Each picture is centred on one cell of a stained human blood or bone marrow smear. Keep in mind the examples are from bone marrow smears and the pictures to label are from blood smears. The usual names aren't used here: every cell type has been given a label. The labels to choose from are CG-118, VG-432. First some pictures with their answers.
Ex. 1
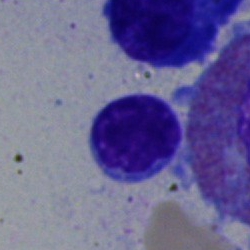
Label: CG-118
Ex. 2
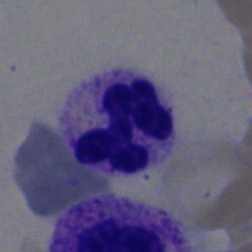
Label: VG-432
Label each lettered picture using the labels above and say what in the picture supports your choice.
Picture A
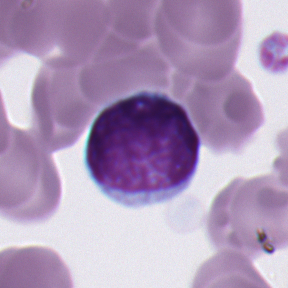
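CG-118: The cytoplasm forms a thin crescent seen mainly below the nucleus.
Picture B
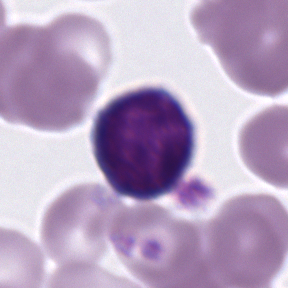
CG-118: The nucleus fills almost the whole cell, leaving at most a very thin rim of cytoplasm.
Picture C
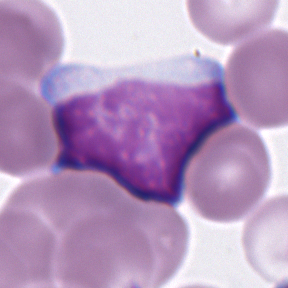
CG-118: The nucleus fills most of the cell and is a single unlobed mass.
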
